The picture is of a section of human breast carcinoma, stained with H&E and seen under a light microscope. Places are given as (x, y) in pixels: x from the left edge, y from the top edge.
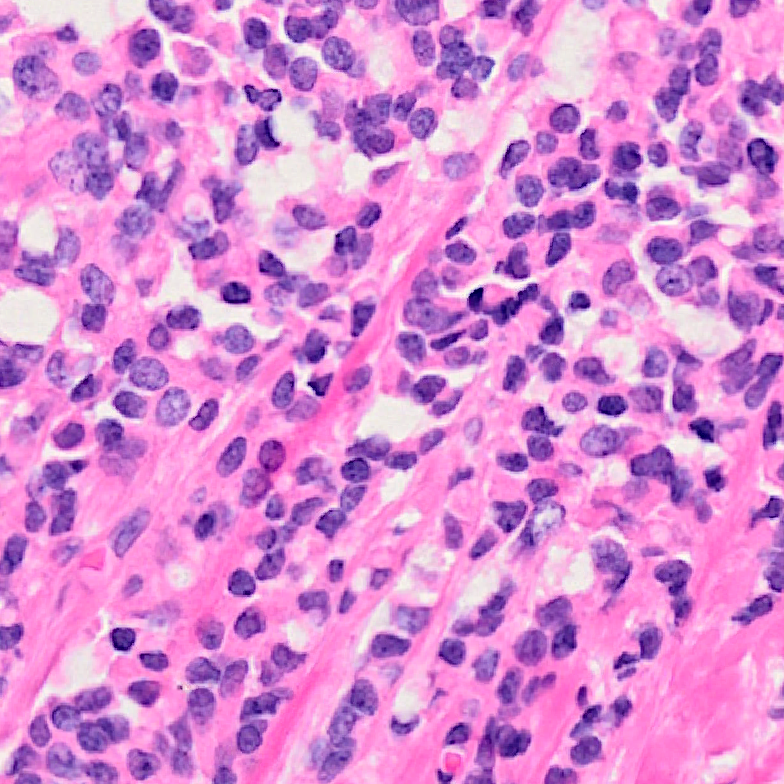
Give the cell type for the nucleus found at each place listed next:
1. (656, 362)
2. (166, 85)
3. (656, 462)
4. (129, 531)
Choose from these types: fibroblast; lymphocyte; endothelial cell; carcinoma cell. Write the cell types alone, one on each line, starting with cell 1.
carcinoma cell
carcinoma cell
carcinoma cell
endothelial cell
